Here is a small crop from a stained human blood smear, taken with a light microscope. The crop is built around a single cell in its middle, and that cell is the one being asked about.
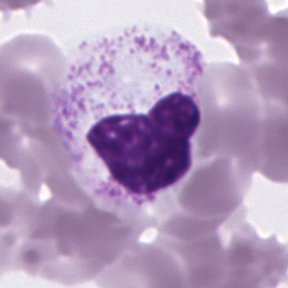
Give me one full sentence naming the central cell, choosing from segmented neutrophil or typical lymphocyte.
Standing at the centre of this crop is a segmented neutrophil.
